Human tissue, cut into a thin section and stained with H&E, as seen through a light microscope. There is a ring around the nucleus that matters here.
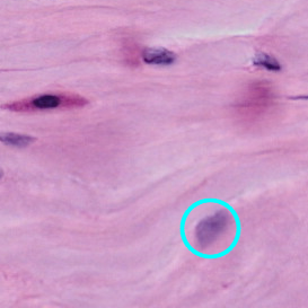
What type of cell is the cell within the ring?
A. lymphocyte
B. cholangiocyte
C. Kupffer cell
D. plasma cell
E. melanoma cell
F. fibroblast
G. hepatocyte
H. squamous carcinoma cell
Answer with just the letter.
F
